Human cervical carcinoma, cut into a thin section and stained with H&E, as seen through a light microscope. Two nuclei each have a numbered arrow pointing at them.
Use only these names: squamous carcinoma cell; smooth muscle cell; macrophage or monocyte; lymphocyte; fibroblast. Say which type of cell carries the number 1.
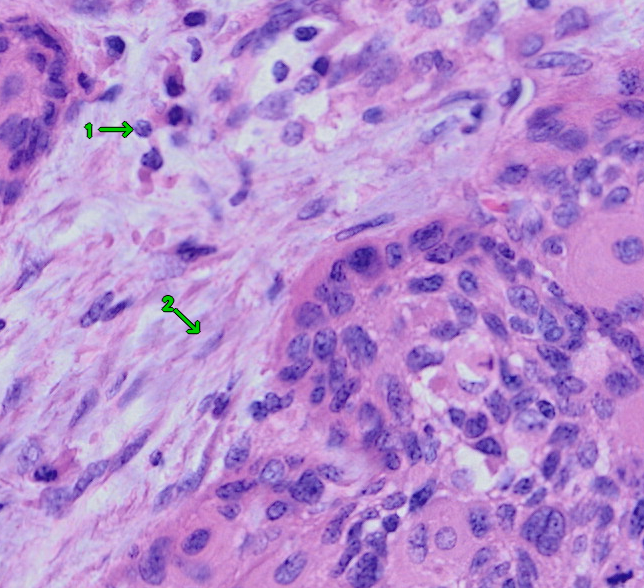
lymphocyte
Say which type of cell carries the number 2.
fibroblast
